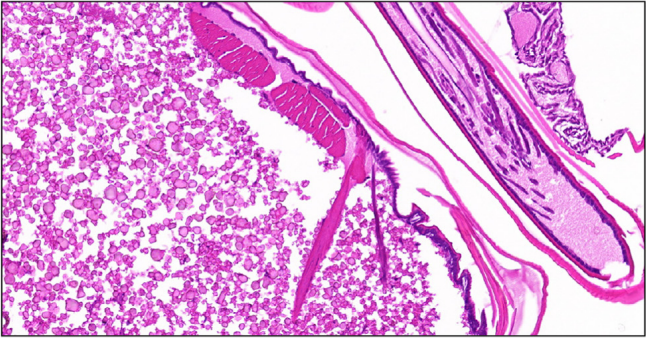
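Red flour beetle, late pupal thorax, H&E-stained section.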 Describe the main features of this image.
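Bright pink, layered sheets of cuticle run diagonally across the field. Just beneath them is a thin row of flattened epithelial cells whose nuclei stain dark purple. An appendage, cut lengthwise, lies alongside the body wall. It is lined by a similar thin layer of cells with purple nuclei and is filled with pale pink material. Inside the body, dense, deep pink muscle bundles pass toward the wall. Most of the interior is packed with many small, rounded, pale pink bodies of varying size, loosely separated by clear spaces.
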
